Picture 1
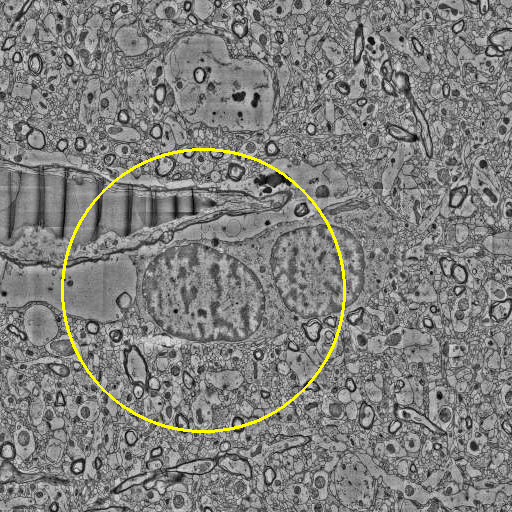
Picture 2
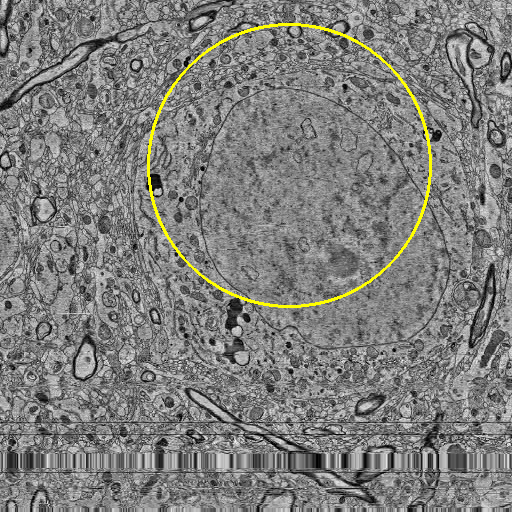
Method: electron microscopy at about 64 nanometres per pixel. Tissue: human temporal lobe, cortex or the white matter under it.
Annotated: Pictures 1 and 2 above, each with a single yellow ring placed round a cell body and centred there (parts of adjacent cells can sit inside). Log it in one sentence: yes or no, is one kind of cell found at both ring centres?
No, the ring centres of the two pictures hold cells of two kinds.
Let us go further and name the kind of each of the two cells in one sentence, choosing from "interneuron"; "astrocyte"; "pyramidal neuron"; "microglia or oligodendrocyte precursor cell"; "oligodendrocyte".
The ring of the first picture is on an oligodendrocyte, the ring of the second on a pyramidal neuron.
